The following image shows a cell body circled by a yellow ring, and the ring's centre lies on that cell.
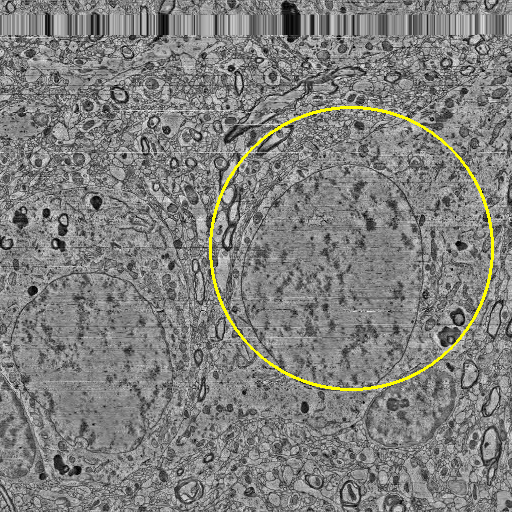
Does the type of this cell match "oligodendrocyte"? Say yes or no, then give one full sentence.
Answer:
No, the cell at the ring's centre in this picture has a different type.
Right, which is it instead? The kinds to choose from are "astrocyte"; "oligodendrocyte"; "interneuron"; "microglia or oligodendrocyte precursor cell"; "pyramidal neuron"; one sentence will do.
The ring holds a pyramidal neuron at its centre.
